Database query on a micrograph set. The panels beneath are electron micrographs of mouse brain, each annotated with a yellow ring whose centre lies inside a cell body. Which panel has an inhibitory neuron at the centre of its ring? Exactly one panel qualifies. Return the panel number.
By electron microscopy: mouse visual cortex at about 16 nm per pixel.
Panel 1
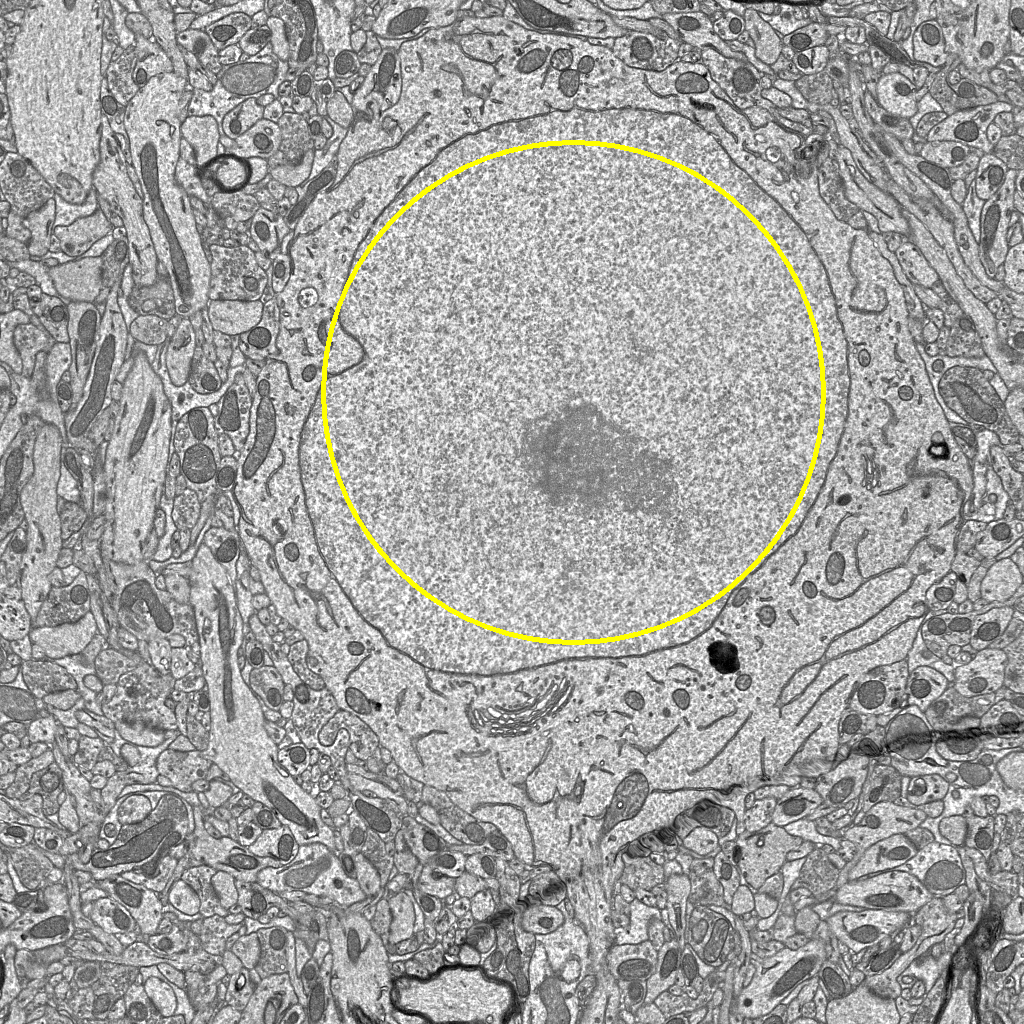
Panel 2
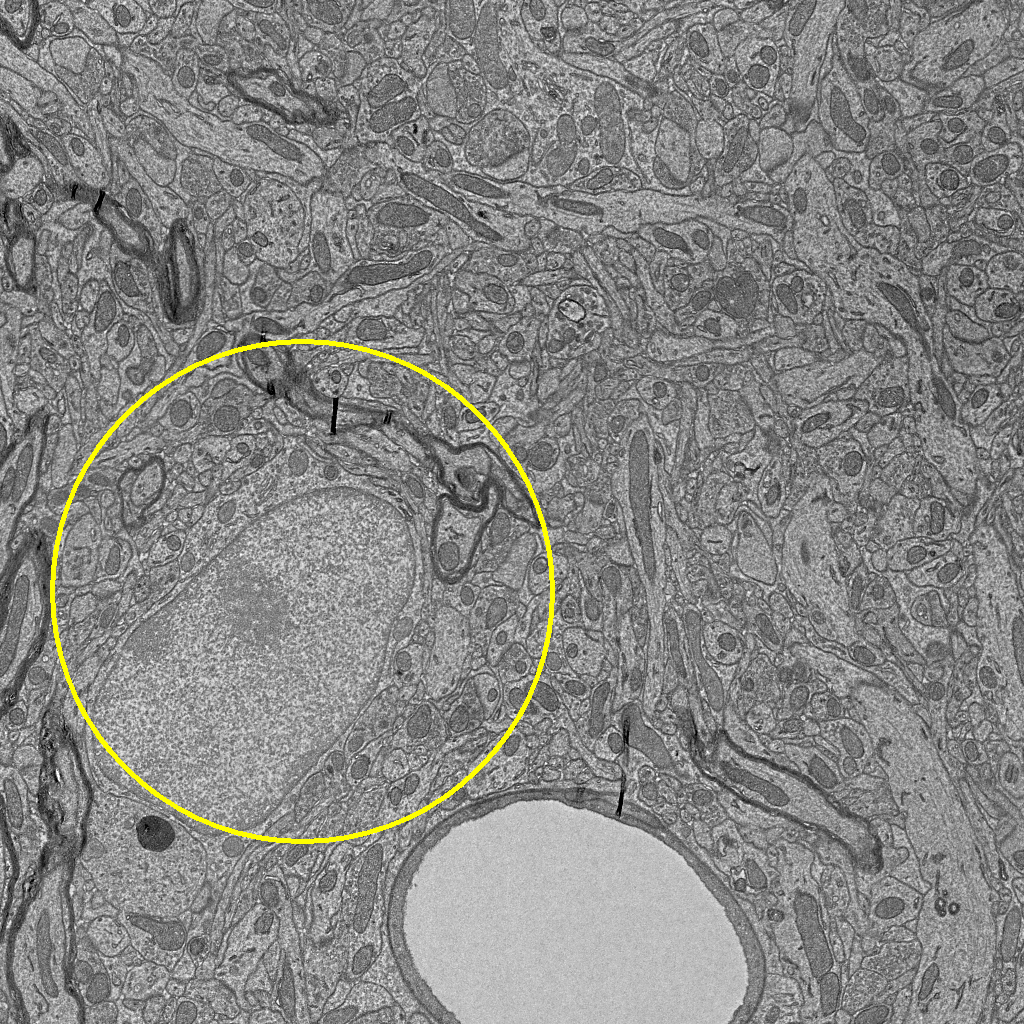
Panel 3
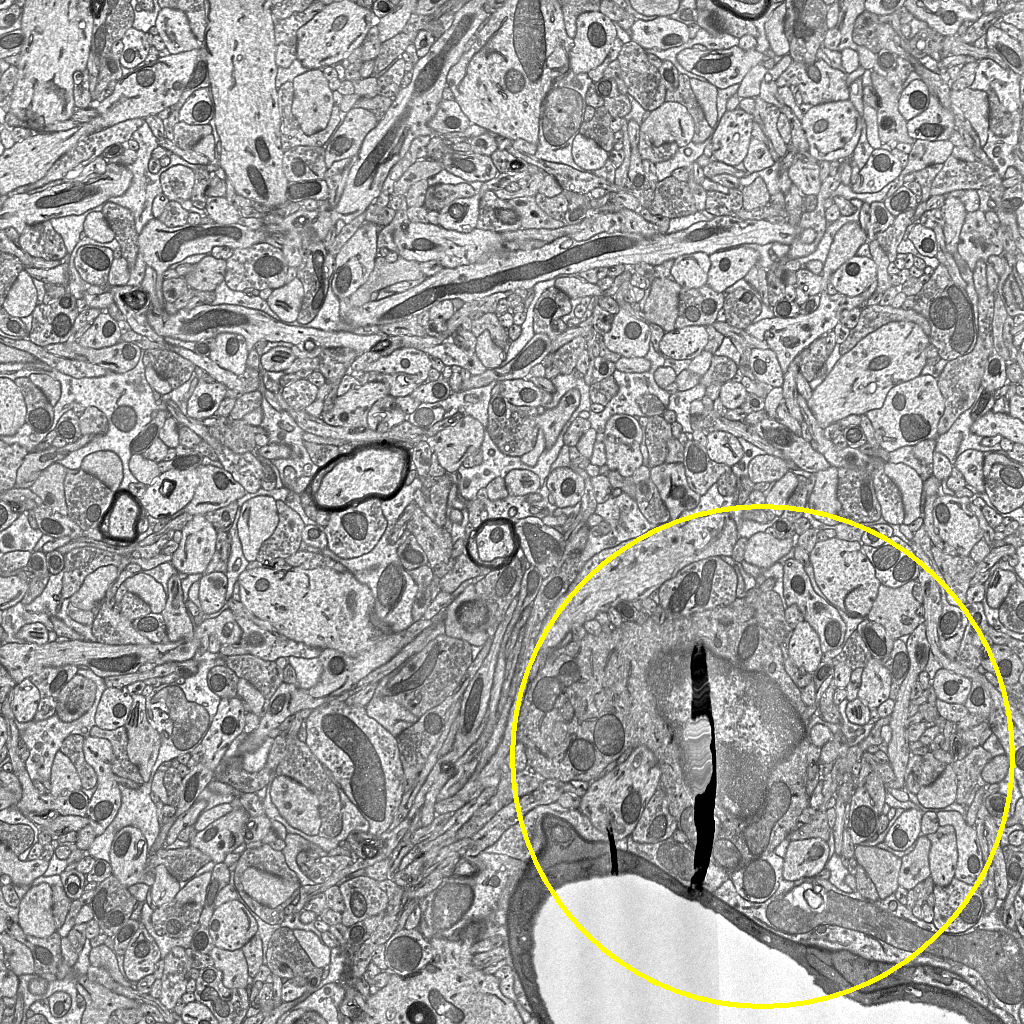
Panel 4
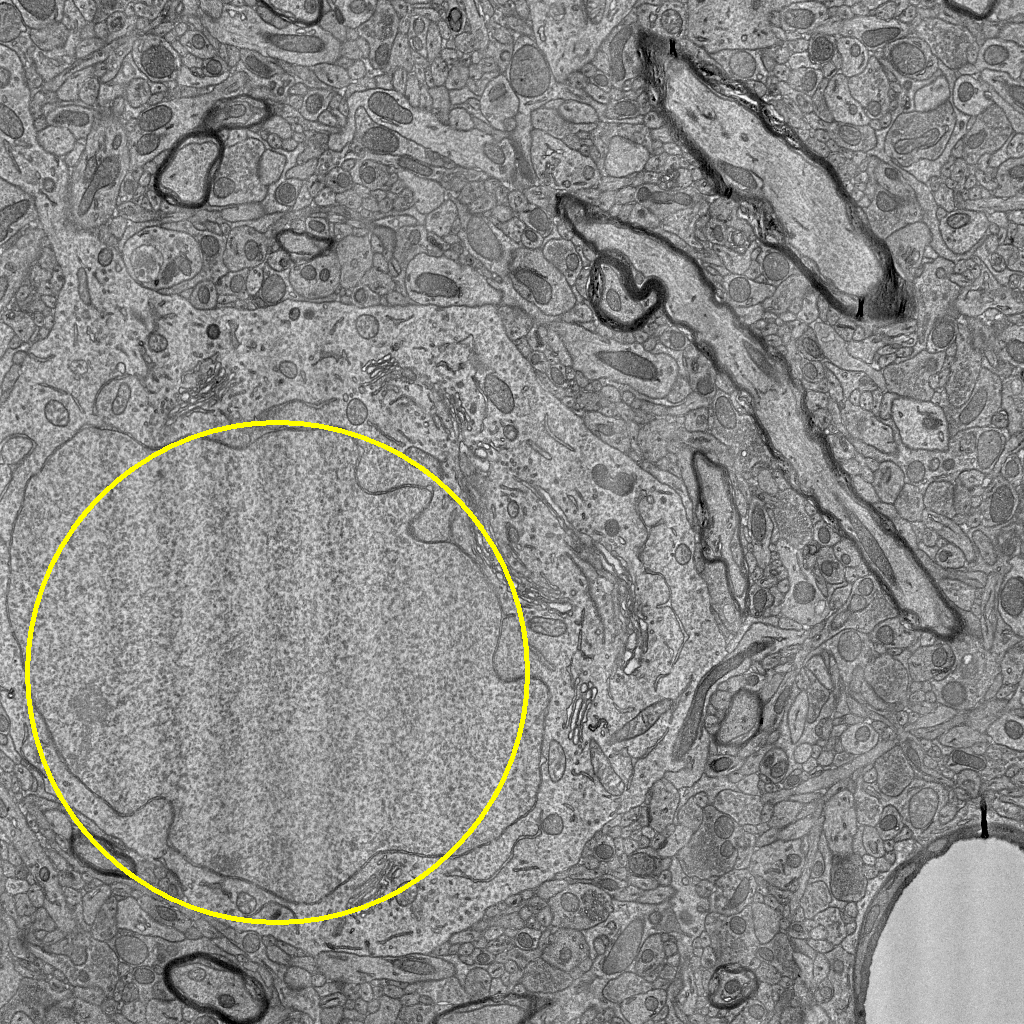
4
